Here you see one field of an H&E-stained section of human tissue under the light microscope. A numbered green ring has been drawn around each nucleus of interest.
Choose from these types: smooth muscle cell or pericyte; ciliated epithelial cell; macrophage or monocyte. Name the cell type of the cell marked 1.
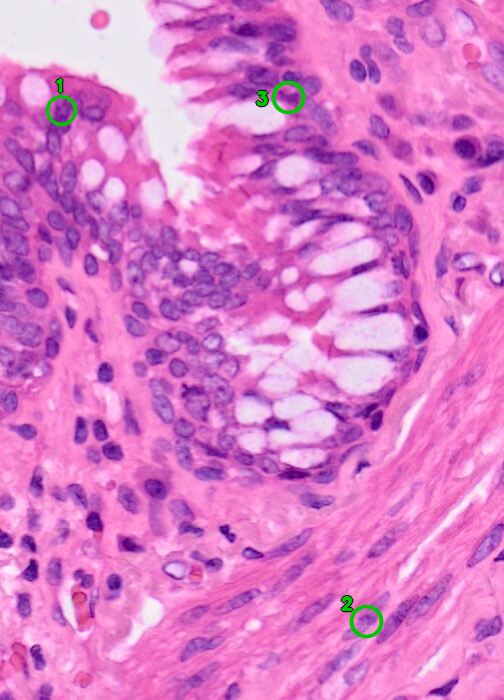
ciliated epithelial cell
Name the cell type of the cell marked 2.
smooth muscle cell or pericyte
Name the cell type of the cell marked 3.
ciliated epithelial cell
